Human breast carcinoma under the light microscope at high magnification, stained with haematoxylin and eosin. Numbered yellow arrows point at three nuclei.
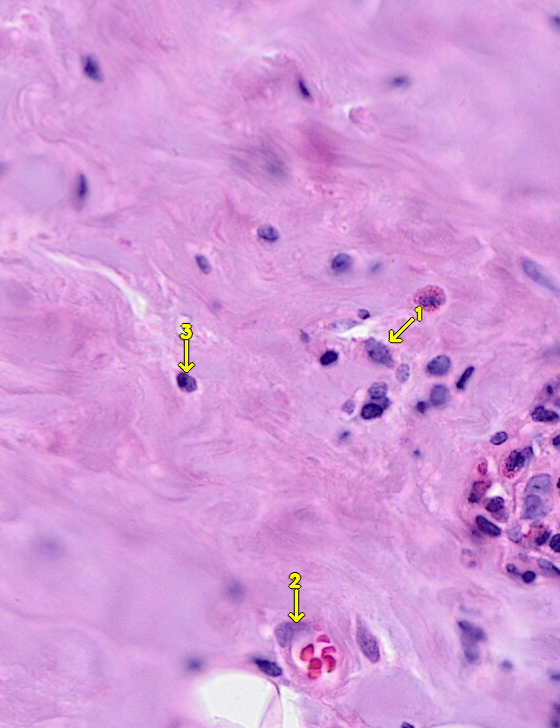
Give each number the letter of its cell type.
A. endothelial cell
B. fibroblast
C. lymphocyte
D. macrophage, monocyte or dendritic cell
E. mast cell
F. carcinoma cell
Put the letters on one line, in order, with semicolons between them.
D; A; C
